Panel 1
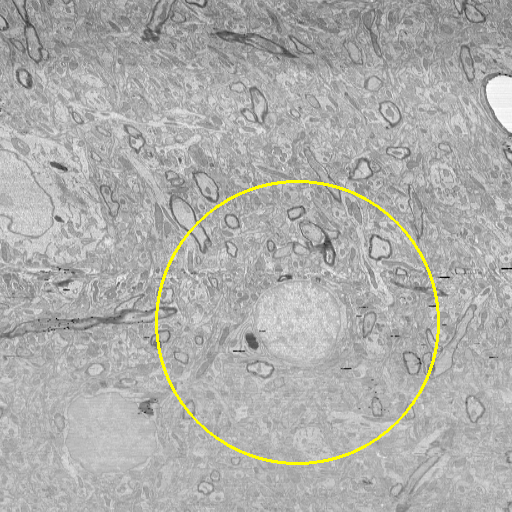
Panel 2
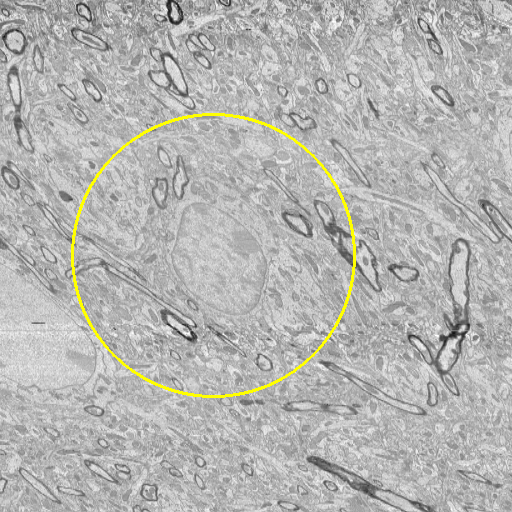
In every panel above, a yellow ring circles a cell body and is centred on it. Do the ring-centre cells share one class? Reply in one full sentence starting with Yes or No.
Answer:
Yes, the two cells at the ring centres in the panels belong to one class.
